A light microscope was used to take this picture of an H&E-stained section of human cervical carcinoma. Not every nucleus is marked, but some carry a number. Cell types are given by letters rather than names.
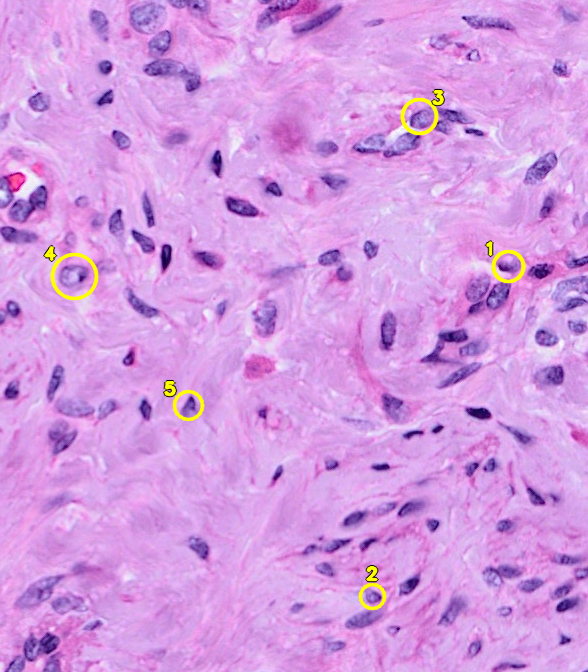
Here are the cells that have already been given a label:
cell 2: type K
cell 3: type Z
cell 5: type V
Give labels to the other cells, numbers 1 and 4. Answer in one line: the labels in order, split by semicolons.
type Z; type Z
